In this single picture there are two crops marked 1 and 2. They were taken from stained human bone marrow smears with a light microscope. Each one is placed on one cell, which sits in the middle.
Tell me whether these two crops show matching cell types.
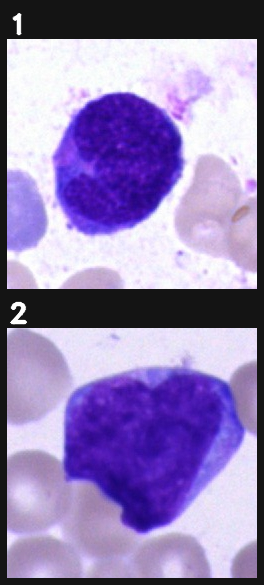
yes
